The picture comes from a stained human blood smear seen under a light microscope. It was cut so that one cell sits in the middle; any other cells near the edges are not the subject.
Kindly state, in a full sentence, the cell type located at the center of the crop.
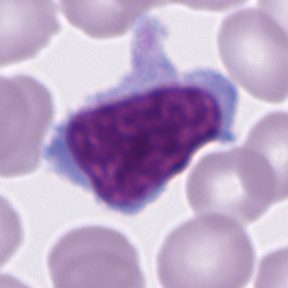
Centred in the crop is a typical lymphocyte.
